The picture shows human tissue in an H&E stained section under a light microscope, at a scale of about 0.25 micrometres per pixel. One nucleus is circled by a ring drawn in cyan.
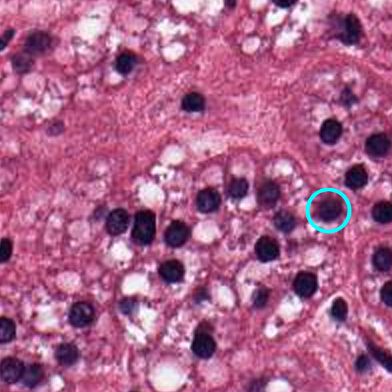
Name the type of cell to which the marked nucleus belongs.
adrenal cortical cell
